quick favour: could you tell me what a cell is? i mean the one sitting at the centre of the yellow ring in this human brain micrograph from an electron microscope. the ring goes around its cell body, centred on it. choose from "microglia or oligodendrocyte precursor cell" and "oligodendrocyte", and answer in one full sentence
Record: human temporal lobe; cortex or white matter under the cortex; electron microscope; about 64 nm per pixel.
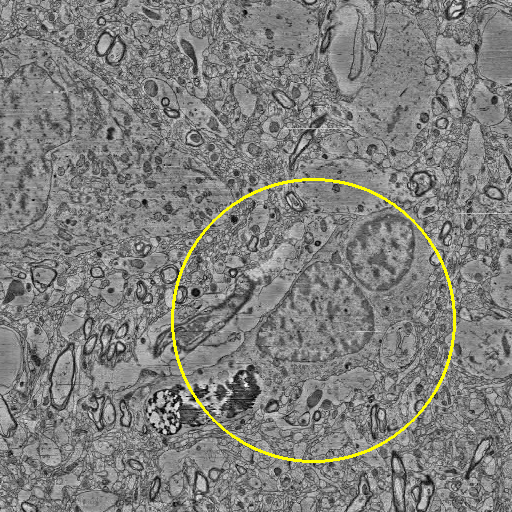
That's an oligodendrocyte, the cell sitting at the centre of the yellow ring.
